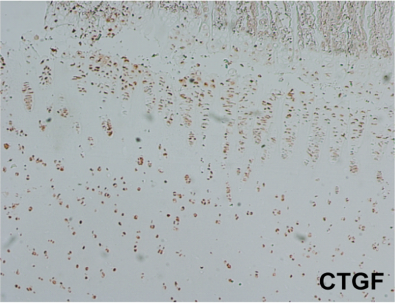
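Growth plate cartilage with chondrocytes. A faint band of columnar cells runs along the top of the field, only weakly coloured. Most of the field is pale matrix holding many small rounded cells, spaced apart singly or in short rows, each stained brown. Matrix between cells is unstained and greyish.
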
